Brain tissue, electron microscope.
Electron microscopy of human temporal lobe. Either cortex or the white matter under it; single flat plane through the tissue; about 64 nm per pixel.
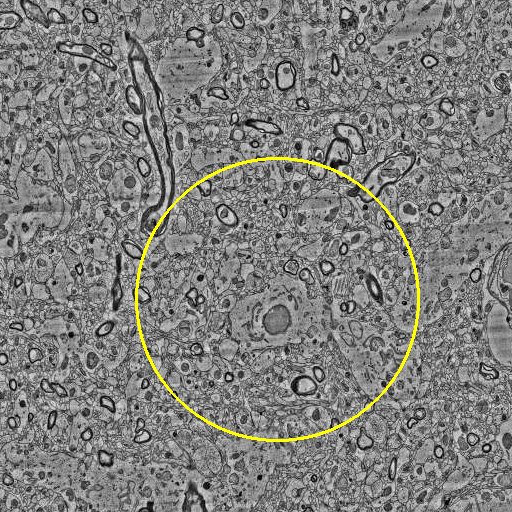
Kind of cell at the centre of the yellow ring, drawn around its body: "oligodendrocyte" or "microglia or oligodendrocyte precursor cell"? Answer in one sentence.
The ring's centre falls on a microglial cell or oligodendrocyte precursor cell.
